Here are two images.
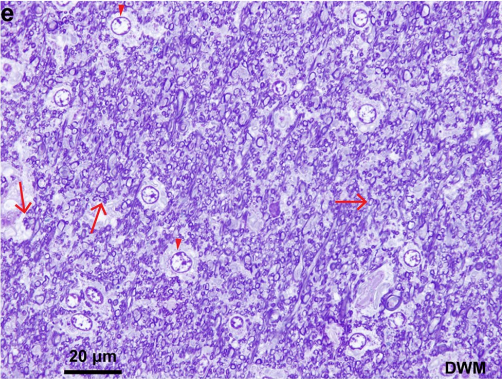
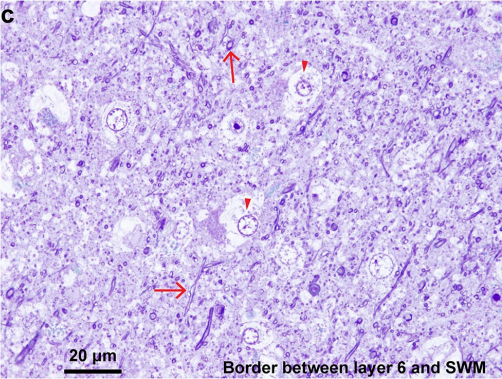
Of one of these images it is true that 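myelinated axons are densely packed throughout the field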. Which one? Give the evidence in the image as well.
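First image: dark purple fibre profiles fill nearly the whole field. Second image: fibre profiles are scattered within a paler neuropil.
Answer: the first image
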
